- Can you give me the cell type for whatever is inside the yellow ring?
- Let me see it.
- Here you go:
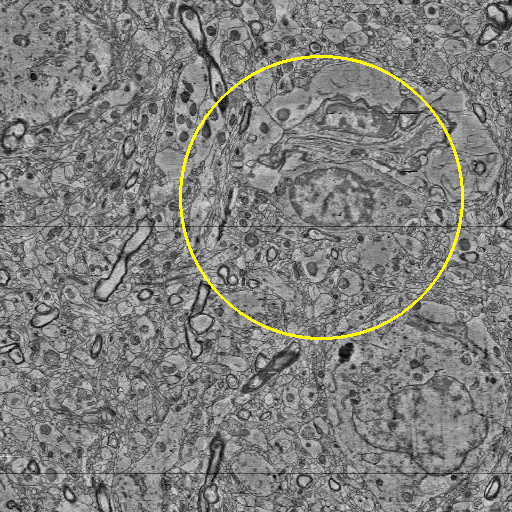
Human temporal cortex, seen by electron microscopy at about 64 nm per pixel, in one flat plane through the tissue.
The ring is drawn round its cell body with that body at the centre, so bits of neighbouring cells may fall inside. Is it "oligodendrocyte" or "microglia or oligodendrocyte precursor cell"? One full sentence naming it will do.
The cell body in the middle of the ring in this picture belongs to an oligodendrocyte.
